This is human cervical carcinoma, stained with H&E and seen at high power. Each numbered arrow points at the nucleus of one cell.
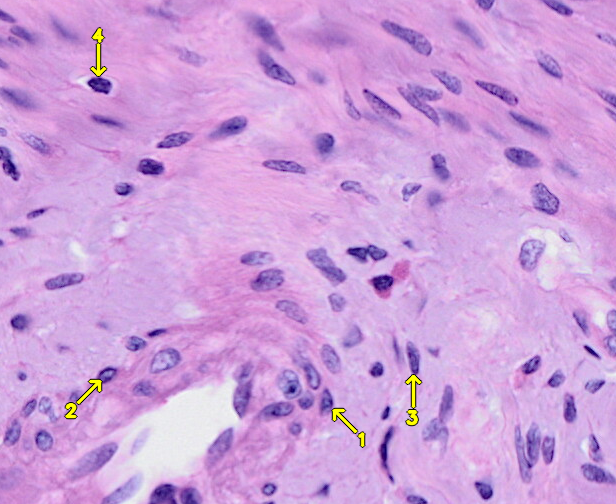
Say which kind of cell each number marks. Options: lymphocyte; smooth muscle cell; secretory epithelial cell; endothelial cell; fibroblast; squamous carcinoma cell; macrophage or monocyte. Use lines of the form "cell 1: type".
cell 1: smooth muscle cell
cell 2: smooth muscle cell
cell 3: fibroblast
cell 4: lymphocyte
